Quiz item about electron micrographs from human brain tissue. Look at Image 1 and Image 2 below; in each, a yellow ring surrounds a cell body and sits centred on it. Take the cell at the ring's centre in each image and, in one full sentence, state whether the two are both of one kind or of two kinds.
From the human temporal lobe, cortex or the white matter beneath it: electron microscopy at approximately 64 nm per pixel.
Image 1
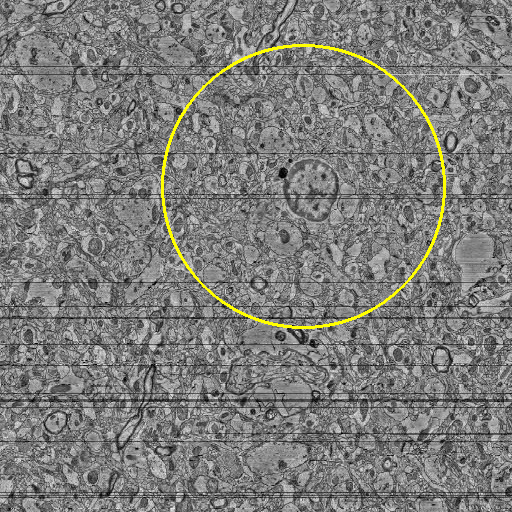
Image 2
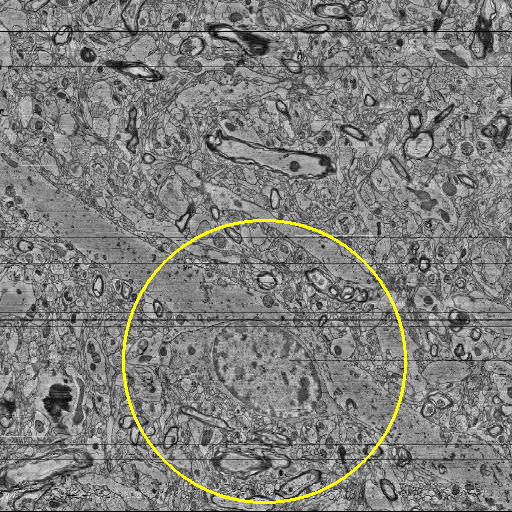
In Image 1 and Image 2, the cells at the ring centres are of two kinds.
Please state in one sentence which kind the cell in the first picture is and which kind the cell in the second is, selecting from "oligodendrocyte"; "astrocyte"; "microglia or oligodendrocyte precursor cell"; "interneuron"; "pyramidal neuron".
The first ringed cell is a microglial cell or oligodendrocyte precursor cell, the second ringed cell an oligodendrocyte.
